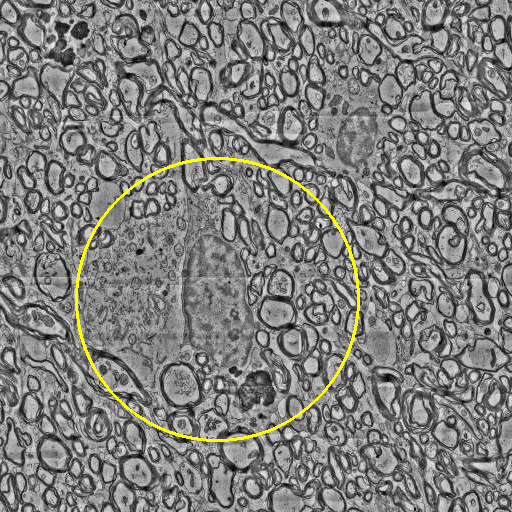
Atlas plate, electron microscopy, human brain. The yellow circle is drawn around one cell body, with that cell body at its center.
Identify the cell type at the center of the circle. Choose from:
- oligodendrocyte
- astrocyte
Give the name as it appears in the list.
oligodendrocyte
